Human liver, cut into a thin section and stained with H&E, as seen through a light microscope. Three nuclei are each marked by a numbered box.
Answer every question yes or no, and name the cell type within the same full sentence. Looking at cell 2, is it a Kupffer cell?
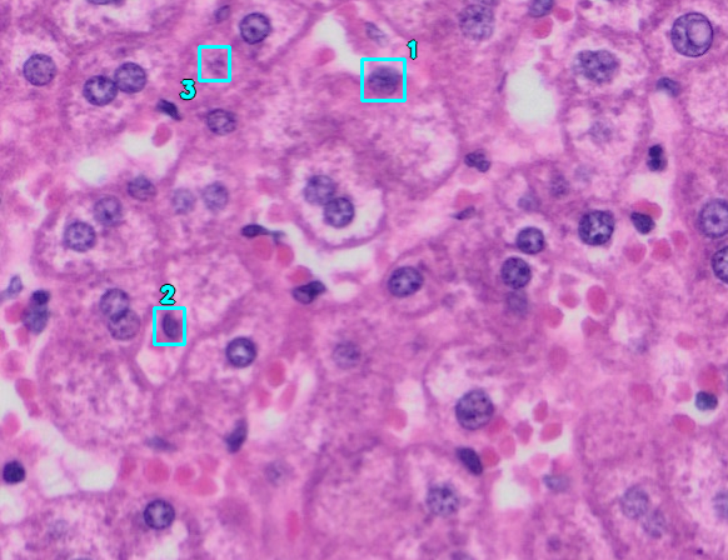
Yes, a Kupffer cell is what the cell numbered 2 is.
